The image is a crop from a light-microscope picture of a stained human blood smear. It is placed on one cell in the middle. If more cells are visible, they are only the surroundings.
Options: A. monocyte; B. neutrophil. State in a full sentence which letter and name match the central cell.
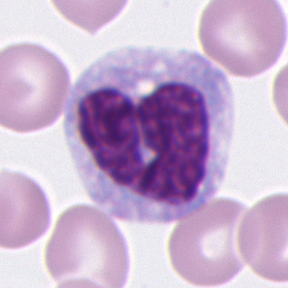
Option A gives the correct identity of the central cell, namely a monocyte.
